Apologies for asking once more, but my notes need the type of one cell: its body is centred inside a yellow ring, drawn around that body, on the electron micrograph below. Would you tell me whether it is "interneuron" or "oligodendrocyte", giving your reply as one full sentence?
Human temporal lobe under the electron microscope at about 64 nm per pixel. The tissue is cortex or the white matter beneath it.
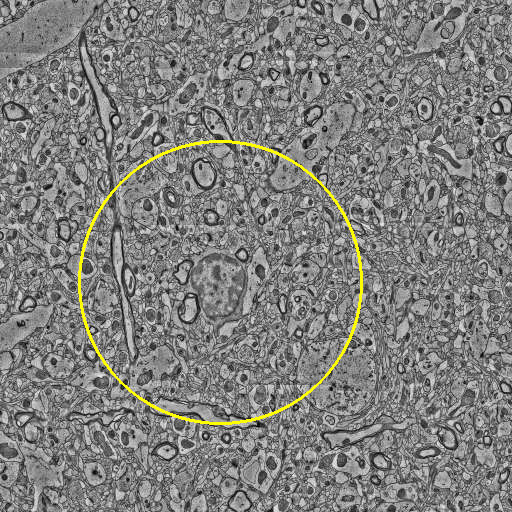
The cell that the yellow ring is centred on is an oligodendrocyte in this micrograph.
